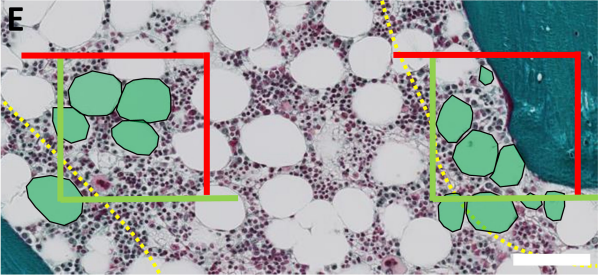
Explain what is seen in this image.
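The adipocytes press against one another and against pockets of small marrow cells with dark purple nuclei and pinkish cytoplasm. On the right, trabecular bone stains a dense blue-green, and several fat cells lie close alongside its surface. The fat cells vary in size, the smallest being only a fraction of the largest.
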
